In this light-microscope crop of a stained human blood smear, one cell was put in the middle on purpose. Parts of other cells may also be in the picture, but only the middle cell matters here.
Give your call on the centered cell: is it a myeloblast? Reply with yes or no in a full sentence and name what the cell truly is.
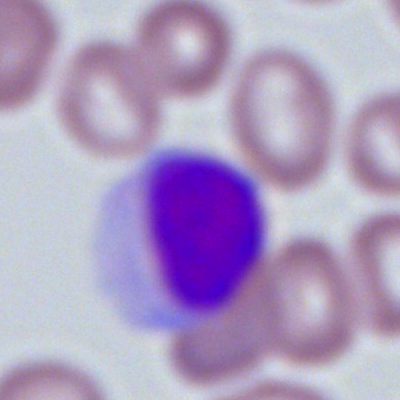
No, not a myeloblast here; the centered cell is a lymphocyte.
